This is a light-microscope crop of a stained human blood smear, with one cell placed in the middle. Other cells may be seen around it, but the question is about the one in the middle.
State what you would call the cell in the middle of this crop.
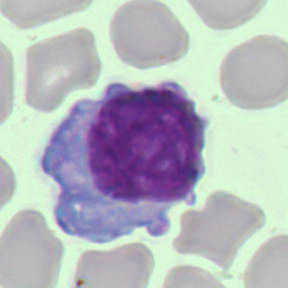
plasma cell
